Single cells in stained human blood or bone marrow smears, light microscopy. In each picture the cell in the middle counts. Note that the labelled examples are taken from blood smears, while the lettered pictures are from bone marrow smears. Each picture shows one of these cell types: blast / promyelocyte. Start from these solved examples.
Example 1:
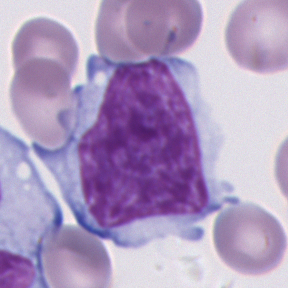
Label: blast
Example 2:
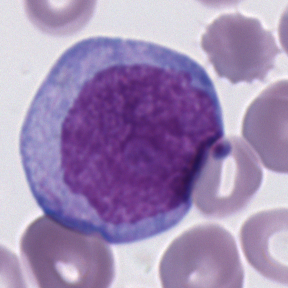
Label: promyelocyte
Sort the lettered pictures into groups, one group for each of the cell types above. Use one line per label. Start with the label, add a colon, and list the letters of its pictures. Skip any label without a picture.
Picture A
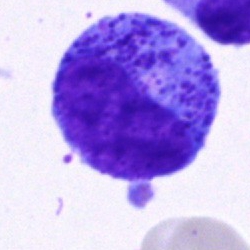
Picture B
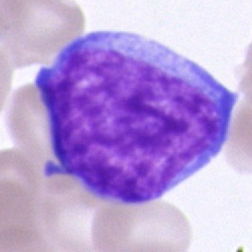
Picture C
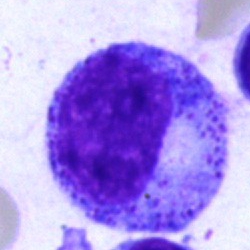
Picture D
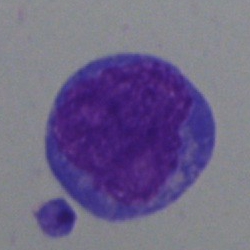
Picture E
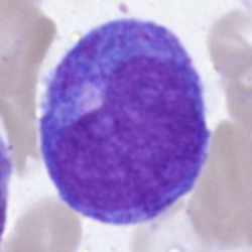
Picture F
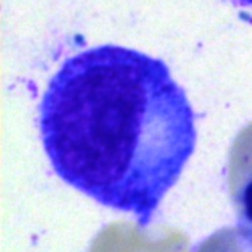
blast: B, D
promyelocyte: A, C, E, F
